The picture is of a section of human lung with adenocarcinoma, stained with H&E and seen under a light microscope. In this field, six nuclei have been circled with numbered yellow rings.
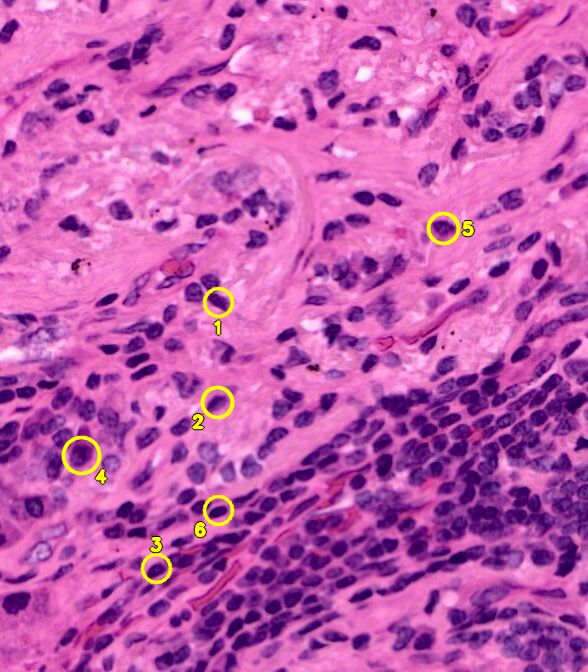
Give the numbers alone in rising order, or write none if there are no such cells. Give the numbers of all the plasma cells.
4, 5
